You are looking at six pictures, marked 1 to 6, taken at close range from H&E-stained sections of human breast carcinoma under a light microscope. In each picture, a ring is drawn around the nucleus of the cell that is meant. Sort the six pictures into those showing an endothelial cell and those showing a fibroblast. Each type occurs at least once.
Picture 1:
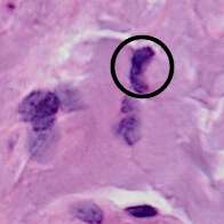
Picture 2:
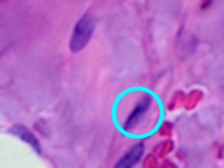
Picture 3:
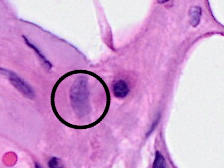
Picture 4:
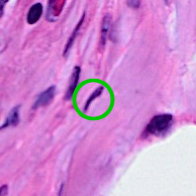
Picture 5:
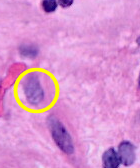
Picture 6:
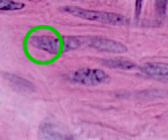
1: fibroblast
2: fibroblast
3: fibroblast
4: fibroblast
5: endothelial cell
6: endothelial cell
